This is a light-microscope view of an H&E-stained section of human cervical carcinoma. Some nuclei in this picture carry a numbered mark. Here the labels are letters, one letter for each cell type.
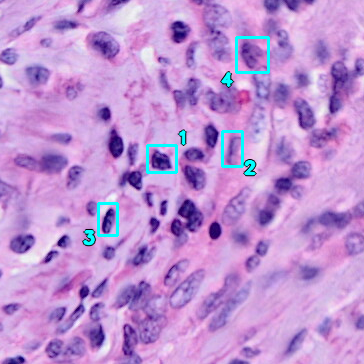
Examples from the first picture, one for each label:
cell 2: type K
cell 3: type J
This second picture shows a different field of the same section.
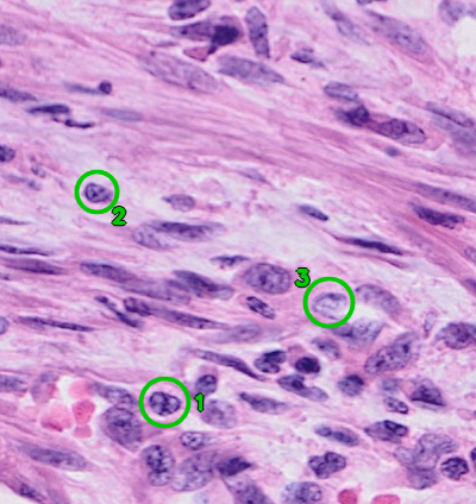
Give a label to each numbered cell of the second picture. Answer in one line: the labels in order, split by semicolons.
type J; type J; type K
